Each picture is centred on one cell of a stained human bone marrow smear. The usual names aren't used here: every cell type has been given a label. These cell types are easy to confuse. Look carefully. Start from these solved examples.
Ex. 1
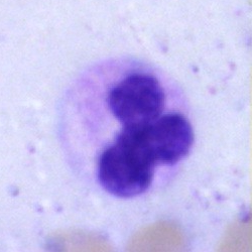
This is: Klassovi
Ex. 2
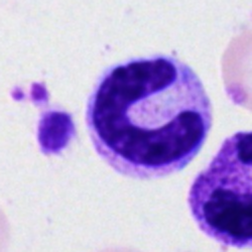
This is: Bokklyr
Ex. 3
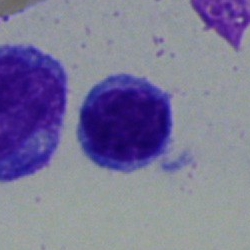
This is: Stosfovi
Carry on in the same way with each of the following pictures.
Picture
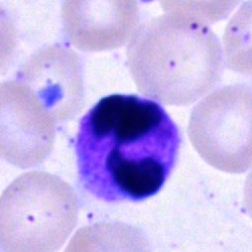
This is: Klassovi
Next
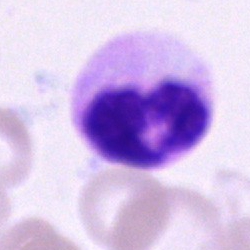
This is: Klassovi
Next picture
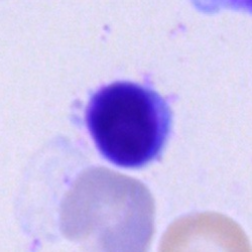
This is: Stosfovi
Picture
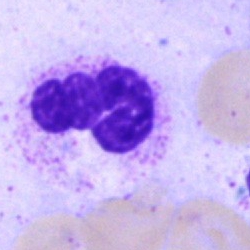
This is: Klassovi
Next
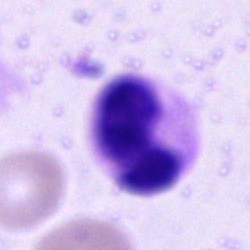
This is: Klassovi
